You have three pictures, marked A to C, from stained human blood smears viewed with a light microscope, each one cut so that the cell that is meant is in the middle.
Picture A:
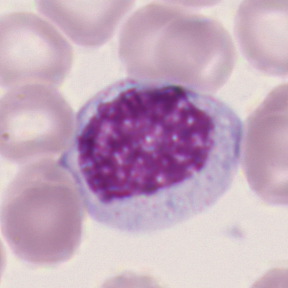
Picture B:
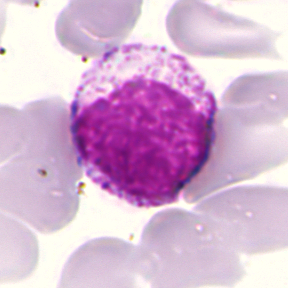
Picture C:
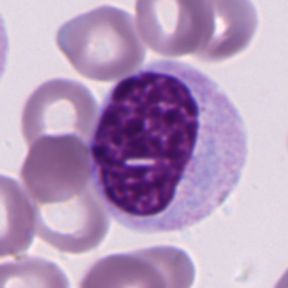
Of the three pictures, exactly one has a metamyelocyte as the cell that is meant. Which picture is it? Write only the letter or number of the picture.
C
